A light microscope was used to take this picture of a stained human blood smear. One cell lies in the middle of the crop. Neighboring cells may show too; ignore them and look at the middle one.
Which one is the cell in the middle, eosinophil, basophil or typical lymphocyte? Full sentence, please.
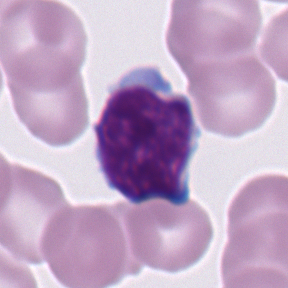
In the center of this field lies a typical lymphocyte.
